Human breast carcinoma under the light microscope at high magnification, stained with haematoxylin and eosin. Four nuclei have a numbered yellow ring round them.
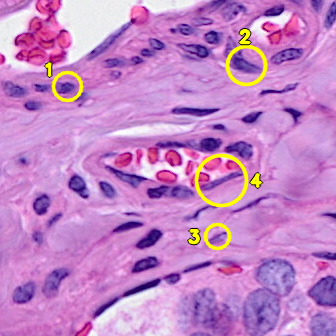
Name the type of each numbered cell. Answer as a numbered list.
1. endothelial cell
2. endothelial cell
3. fibroblast
4. endothelial cell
